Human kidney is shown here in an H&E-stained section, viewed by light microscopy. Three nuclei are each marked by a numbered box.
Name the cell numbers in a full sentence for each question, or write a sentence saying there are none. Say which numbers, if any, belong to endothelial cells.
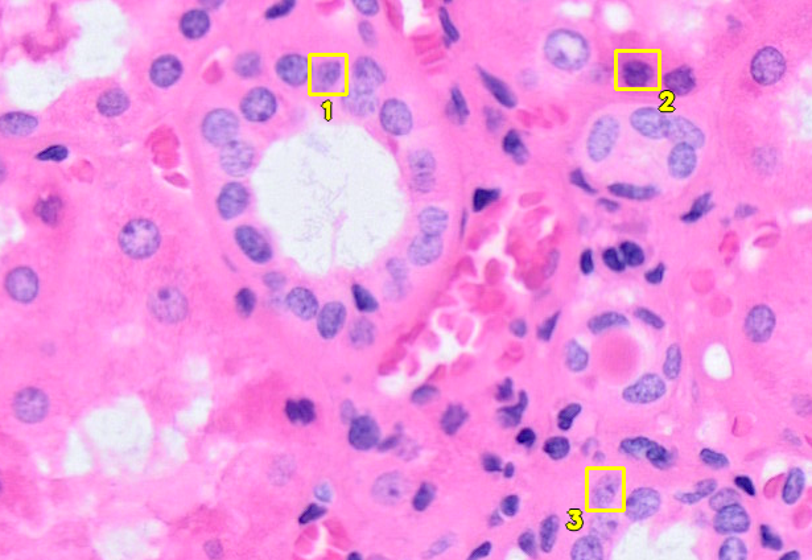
Among the cells with numbered nuclei there are no endothelial cells.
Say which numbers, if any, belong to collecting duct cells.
So, the cells with numbers 1 and 3 are collecting duct cells.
